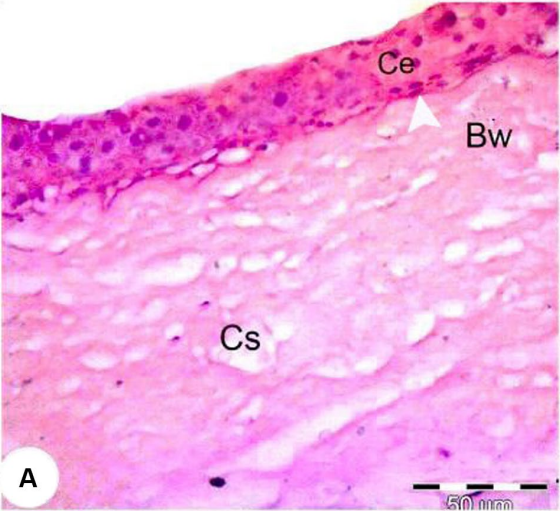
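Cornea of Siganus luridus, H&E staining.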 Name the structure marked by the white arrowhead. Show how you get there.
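Basement membrane. The arrowhead points at the boundary under the basal epithelial cells. A thin line lies between the cellular layer and the pale layer below.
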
